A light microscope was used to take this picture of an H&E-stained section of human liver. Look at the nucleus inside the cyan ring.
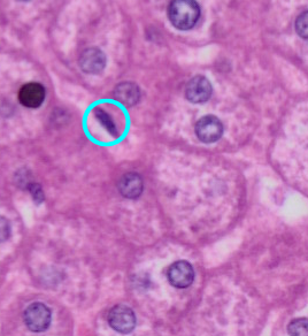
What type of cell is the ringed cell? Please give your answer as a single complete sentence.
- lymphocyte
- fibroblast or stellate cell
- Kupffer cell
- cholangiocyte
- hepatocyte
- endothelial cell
What the ringed cell represents is a Kupffer cell.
